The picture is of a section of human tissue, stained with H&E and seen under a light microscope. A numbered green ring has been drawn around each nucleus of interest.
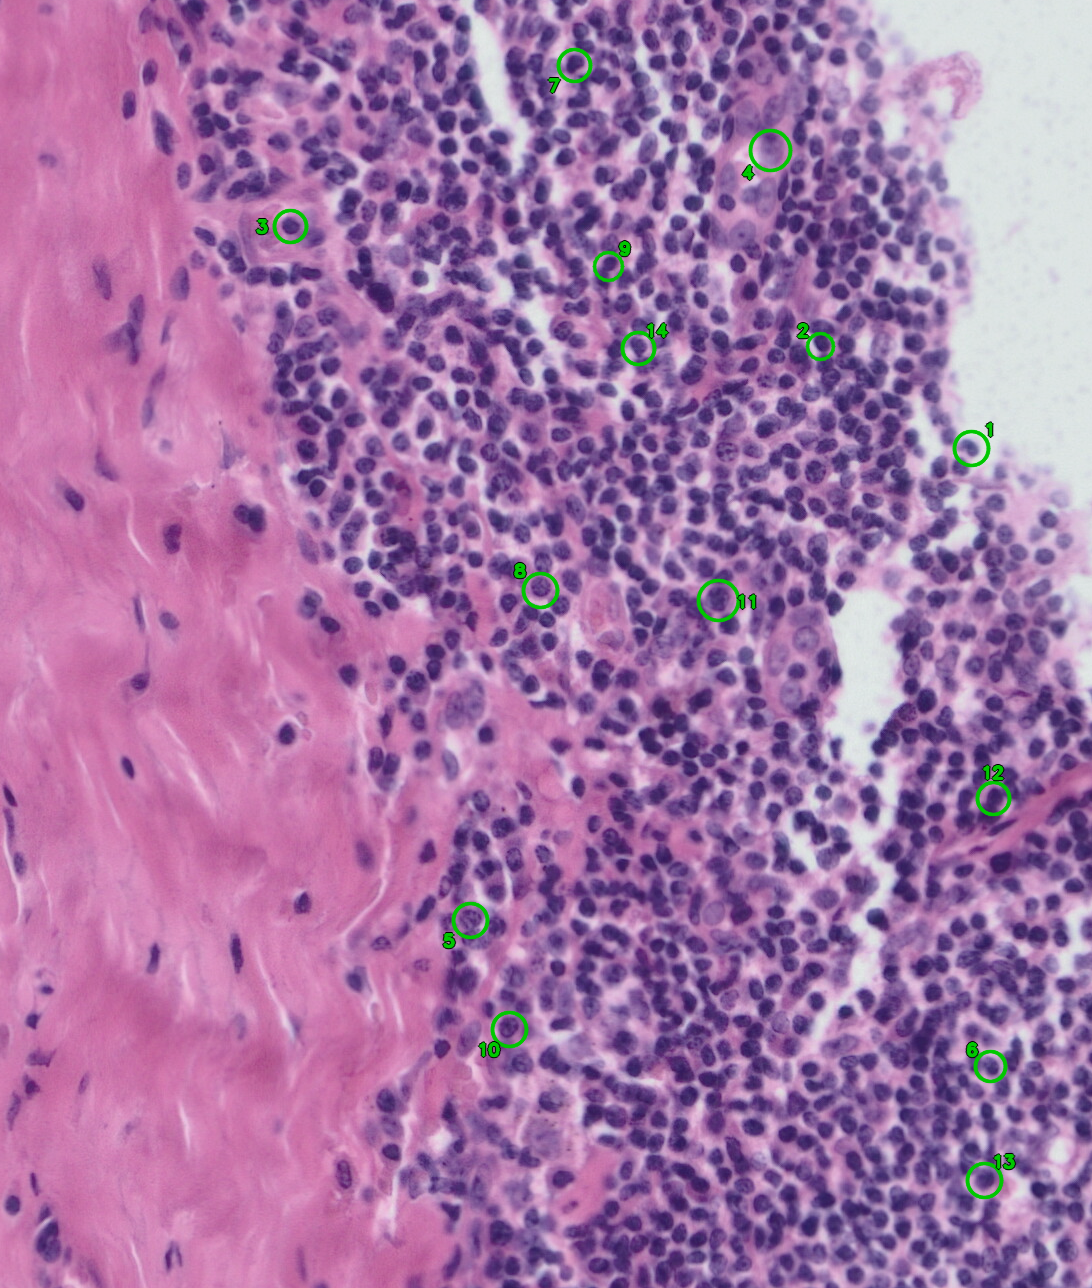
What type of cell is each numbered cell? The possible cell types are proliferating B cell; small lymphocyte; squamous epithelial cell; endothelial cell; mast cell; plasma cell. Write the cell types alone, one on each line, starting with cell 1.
small lymphocyte
small lymphocyte
endothelial cell
endothelial cell
plasma cell
small lymphocyte
small lymphocyte
plasma cell
small lymphocyte
plasma cell
proliferating B cell
small lymphocyte
small lymphocyte
small lymphocyte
